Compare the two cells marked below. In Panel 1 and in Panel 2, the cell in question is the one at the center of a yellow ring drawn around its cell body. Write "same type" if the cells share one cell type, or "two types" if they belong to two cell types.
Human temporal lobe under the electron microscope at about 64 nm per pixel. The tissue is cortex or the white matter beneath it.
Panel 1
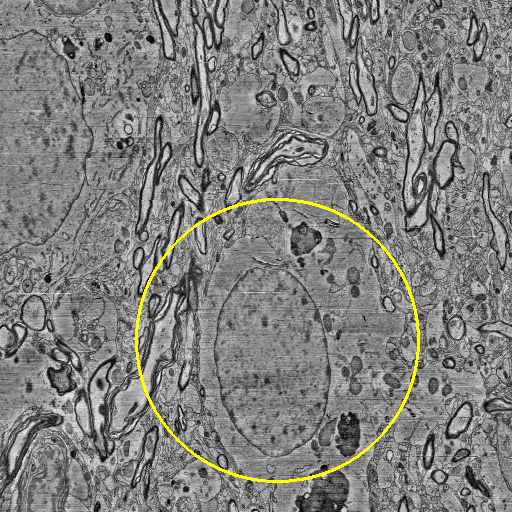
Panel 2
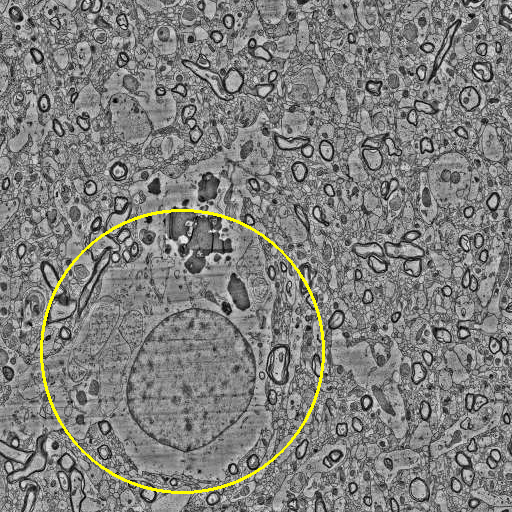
same type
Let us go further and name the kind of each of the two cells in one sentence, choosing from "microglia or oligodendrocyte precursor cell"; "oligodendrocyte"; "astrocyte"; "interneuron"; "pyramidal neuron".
In the first picture and in the second, the ring is centred on an astrocyte.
